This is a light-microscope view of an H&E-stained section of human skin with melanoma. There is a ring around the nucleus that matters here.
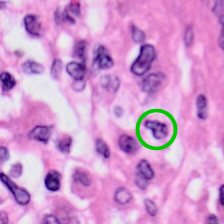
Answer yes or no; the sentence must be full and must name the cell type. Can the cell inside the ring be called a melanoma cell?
No, kindly revise that, as the cell inside the ring is a lymphocyte rather than a melanoma cell.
